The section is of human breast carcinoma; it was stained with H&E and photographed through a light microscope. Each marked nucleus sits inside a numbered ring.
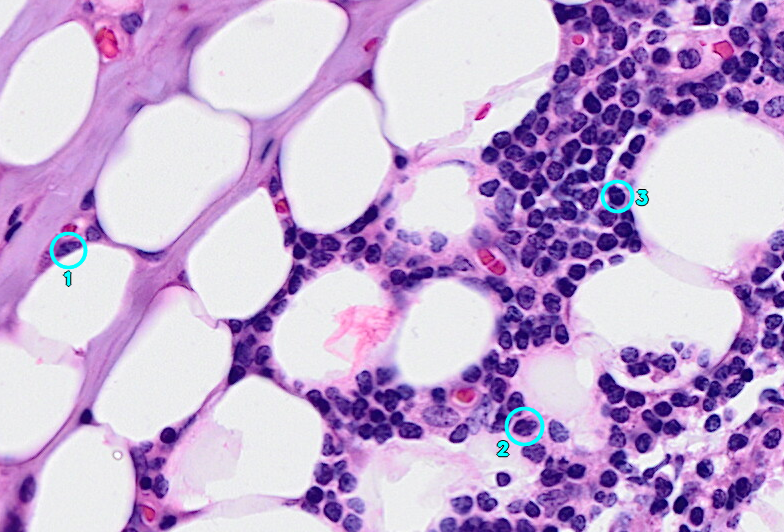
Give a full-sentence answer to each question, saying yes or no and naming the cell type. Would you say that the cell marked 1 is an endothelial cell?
Yes, the cell with the number 1 is an endothelial cell.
